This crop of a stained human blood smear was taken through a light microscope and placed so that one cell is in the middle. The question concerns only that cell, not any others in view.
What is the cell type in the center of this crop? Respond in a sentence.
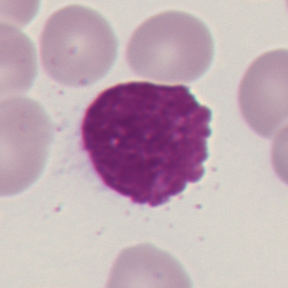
Where the crop is centred, there is a smudge cell.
